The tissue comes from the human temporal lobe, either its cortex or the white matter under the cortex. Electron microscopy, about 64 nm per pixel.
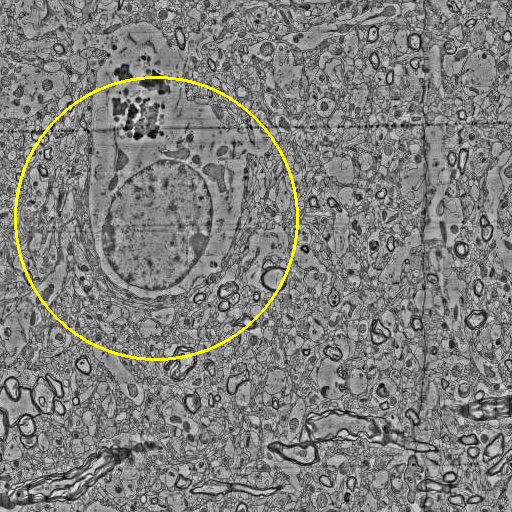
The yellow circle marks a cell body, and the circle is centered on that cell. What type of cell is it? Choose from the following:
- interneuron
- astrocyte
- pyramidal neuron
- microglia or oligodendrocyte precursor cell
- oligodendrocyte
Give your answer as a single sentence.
This cell body belongs to an astrocyte.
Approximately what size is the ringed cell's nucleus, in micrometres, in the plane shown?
The nucleus comes to roughly 10 by 7 micrometres in this plane.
